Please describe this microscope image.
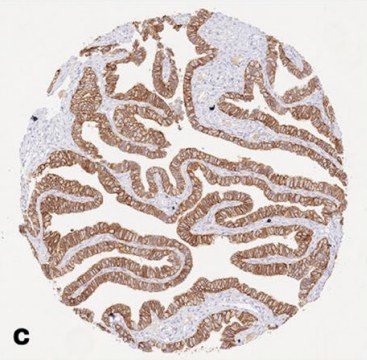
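Fallopian tube mucosa thrown into long, branching folds, each lined by columnar epithelial cells. The epithelium is stained brown along the cell outlines, while the thin stromal cores of the folds remain pale blue. Open lumen spaces separate the folds across the whole section.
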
